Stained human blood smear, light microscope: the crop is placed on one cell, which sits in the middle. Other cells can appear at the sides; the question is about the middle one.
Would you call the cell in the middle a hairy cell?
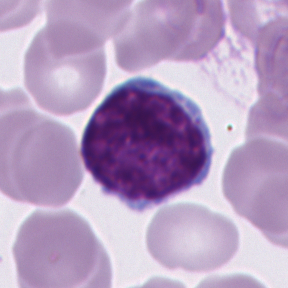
no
